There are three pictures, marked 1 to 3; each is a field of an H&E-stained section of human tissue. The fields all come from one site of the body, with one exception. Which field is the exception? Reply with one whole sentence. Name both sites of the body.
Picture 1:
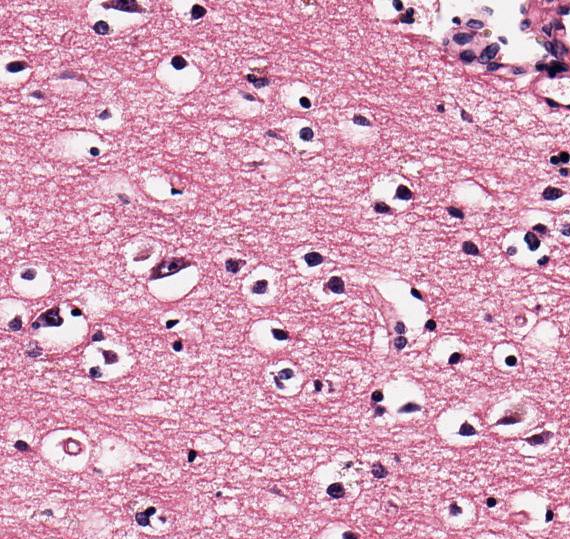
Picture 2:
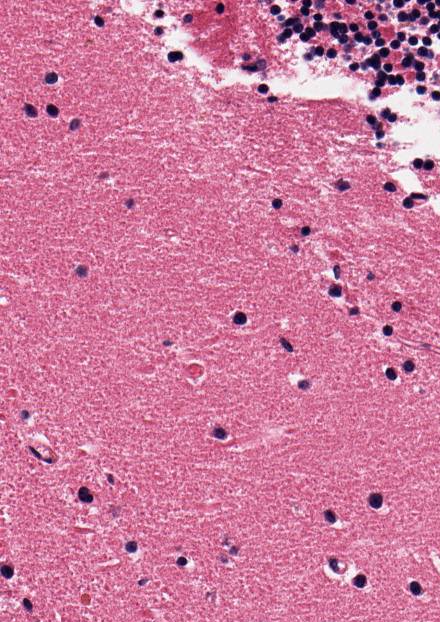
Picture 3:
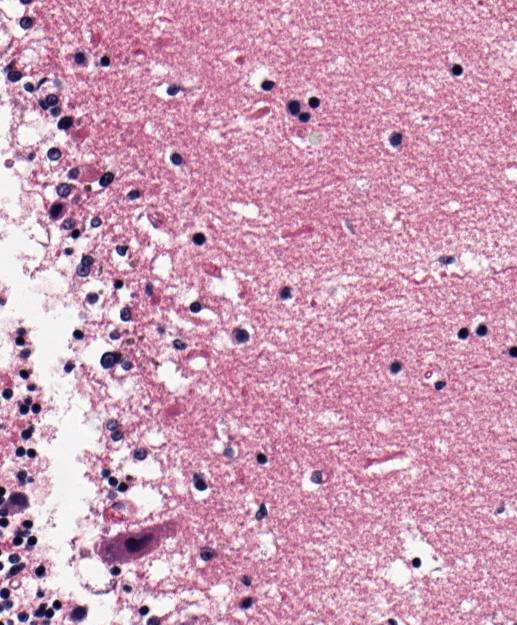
The others come from the cerebellum, but picture 1 comes from the cerebral cortex.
